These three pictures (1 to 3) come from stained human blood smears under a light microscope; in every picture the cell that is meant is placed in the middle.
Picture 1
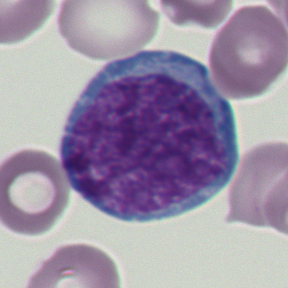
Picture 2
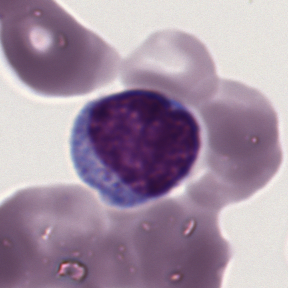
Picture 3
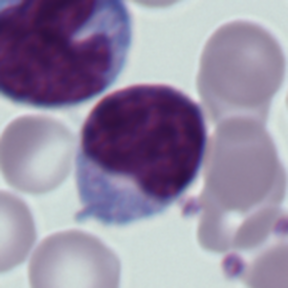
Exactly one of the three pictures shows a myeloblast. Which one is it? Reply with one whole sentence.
The picture with the myeloblast is 1.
